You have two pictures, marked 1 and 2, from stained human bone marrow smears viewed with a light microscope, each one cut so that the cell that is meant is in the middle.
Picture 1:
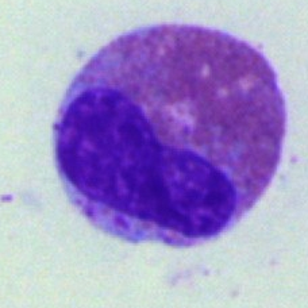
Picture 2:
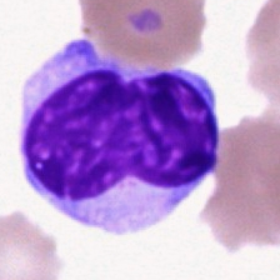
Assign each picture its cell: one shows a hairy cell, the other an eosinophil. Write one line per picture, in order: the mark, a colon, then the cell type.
1: eosinophil
2: hairy cell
